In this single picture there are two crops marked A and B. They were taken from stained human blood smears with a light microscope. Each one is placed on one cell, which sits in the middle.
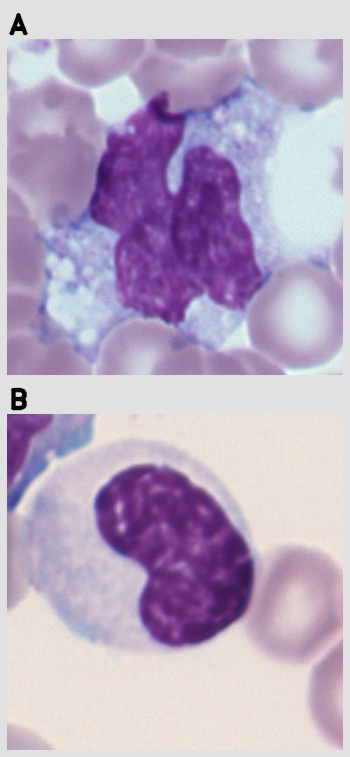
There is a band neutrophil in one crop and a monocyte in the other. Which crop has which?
A: monocyte
B: band neutrophil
